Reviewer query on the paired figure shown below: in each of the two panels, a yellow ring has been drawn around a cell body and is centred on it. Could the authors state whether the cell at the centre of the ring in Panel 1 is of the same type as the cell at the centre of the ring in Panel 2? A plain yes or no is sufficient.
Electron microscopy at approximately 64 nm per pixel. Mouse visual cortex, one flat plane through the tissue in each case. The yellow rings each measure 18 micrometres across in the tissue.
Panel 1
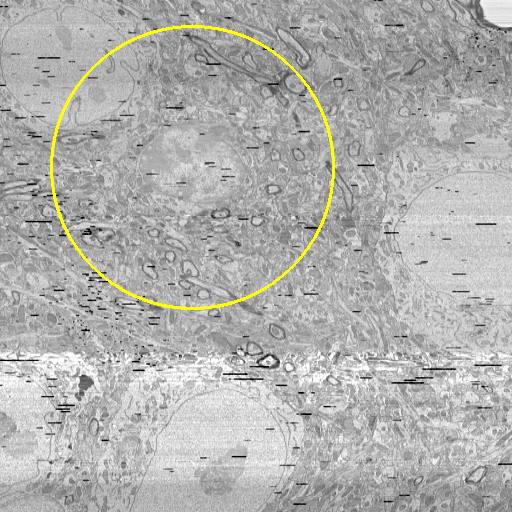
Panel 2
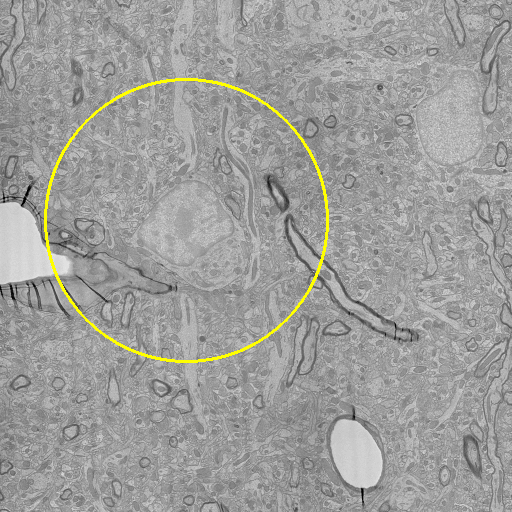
yes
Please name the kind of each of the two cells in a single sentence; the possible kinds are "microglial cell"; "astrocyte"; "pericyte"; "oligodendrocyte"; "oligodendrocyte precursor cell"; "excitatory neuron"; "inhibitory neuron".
In each of the two pictures, the ringed cell is an oligodendrocyte.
